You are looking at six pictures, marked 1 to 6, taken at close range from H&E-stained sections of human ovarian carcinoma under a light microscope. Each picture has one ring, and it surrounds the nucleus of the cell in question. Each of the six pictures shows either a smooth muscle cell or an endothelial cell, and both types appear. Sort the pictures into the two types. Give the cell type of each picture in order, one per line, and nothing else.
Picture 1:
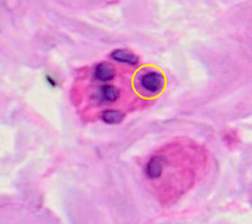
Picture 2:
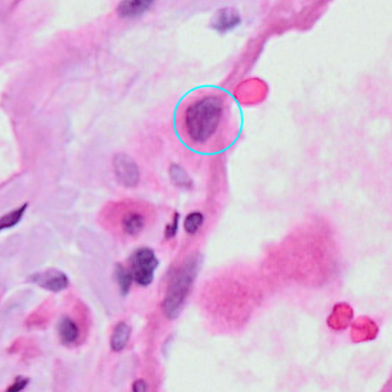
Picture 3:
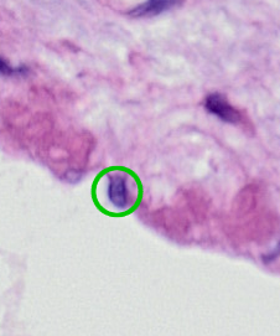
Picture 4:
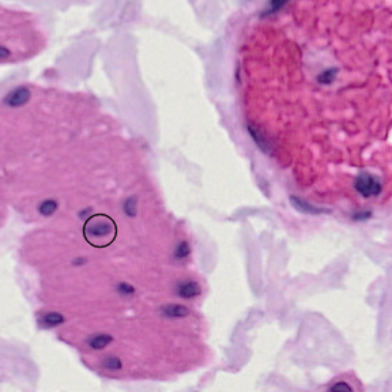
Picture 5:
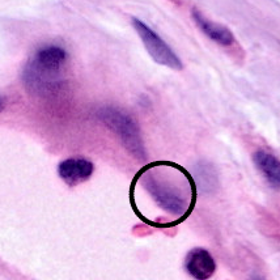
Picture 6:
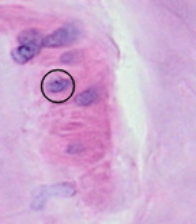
smooth muscle cell
endothelial cell
endothelial cell
smooth muscle cell
endothelial cell
smooth muscle cell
